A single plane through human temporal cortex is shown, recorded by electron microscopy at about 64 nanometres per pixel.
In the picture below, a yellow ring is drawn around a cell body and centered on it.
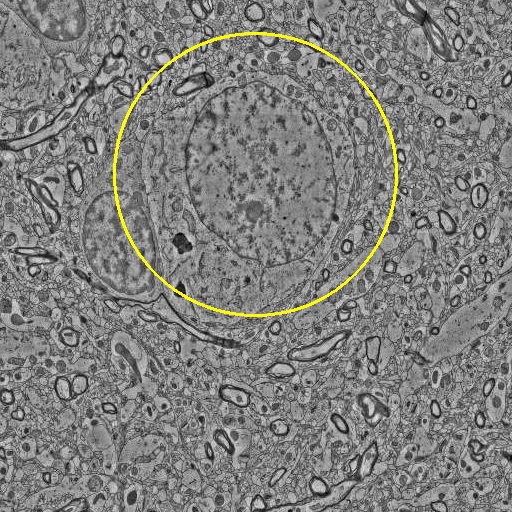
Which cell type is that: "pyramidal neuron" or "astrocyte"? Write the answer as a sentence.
The cell centered in the ring is a pyramidal neuron.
